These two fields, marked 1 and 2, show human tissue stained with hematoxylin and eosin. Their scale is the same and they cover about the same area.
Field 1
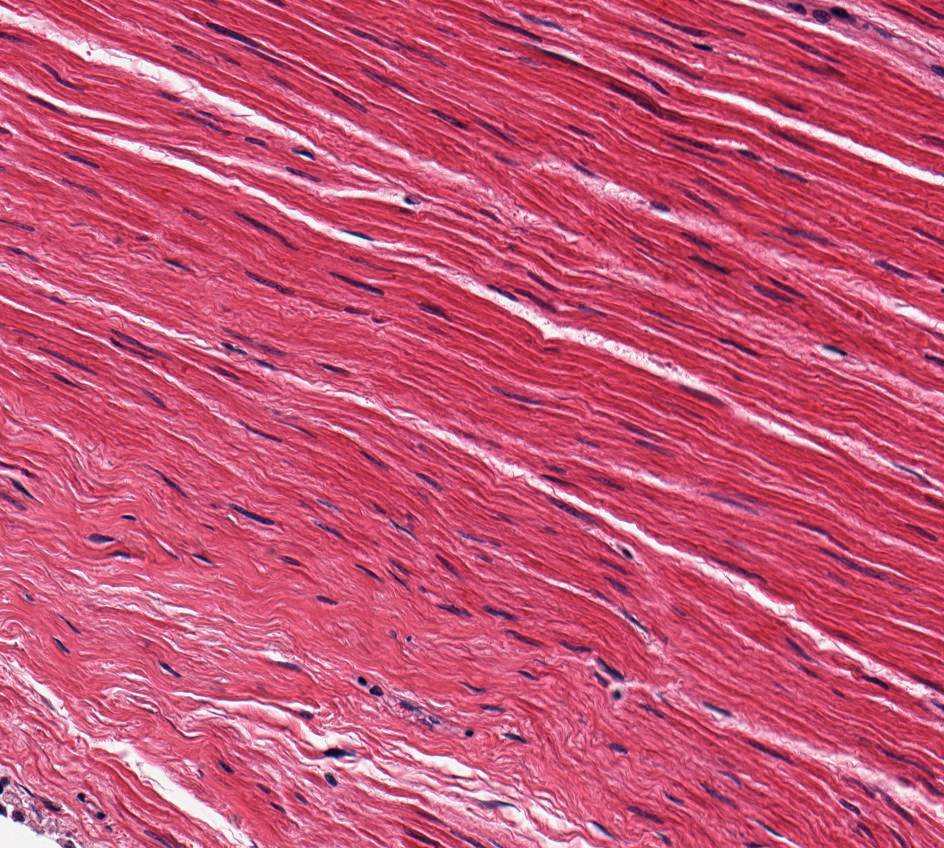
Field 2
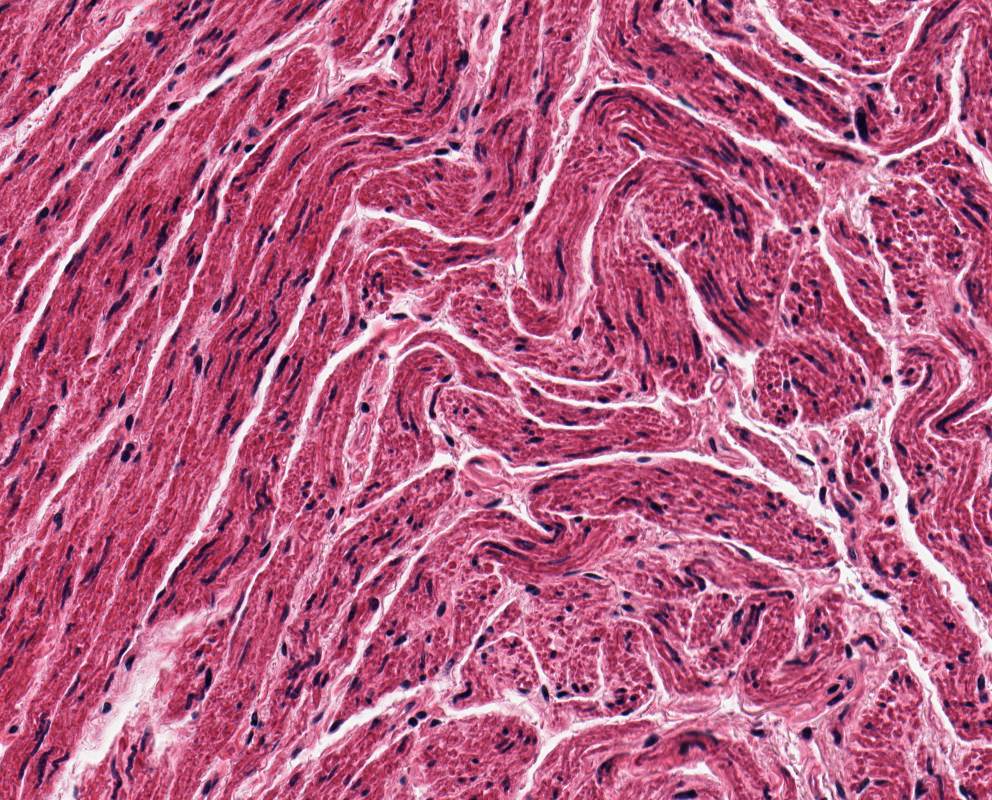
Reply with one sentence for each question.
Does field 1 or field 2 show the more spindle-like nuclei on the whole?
The nuclei are more elongated in field 1.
